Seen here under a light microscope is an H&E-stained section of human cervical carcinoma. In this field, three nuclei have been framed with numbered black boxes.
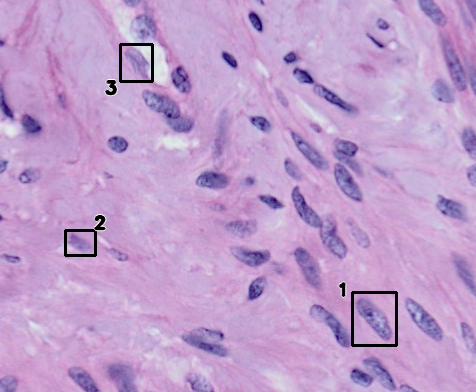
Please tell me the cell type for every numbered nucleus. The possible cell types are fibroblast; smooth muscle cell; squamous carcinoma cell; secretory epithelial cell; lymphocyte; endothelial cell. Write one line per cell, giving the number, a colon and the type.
1: fibroblast
2: fibroblast
3: endothelial cell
